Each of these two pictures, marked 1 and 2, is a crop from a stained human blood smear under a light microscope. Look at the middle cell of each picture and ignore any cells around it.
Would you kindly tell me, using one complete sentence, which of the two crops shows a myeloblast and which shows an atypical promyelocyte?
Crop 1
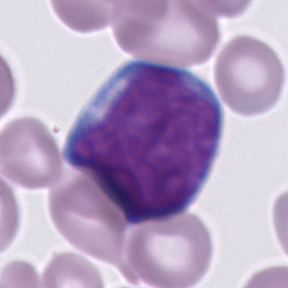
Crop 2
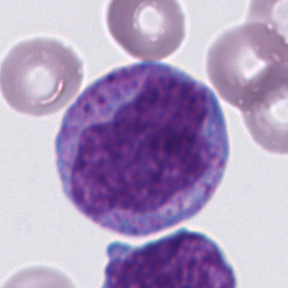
Crop 1 is labelled a myeloblast, and crop 2 is labelled an atypical promyelocyte.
